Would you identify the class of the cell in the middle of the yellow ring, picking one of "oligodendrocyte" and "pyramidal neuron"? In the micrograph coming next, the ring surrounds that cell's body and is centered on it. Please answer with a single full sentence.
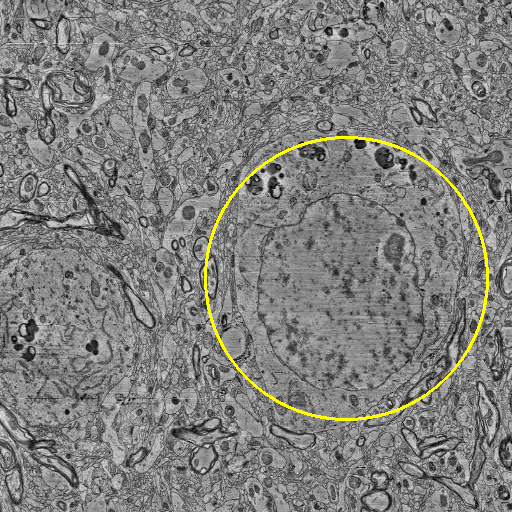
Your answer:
In the micrograph, it is a pyramidal neuron whose body lies at the ring's center.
